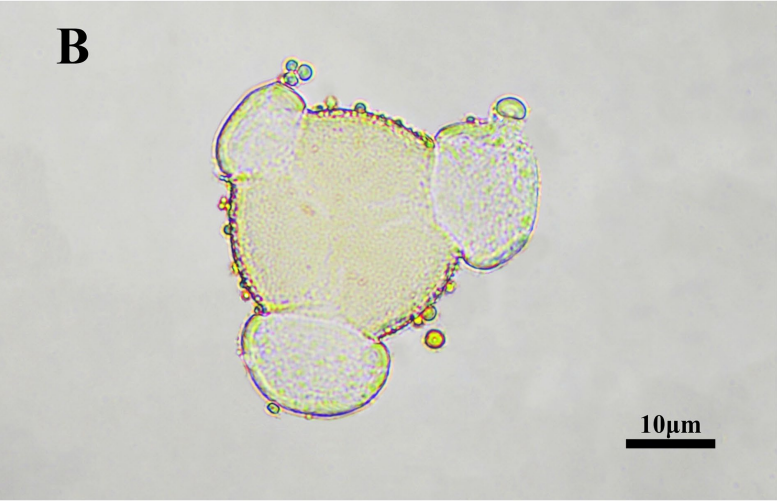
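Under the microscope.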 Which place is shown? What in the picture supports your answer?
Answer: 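The outline is roughly triangular. A clear, rounded protrusion bulges from each of the three corners.
Hence: polar view.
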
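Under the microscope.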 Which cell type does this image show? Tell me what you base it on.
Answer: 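A single free grain about 40 µm across with a distinct outer wall. Small refractile droplets cling to the wall surface.
Pollen grains.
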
